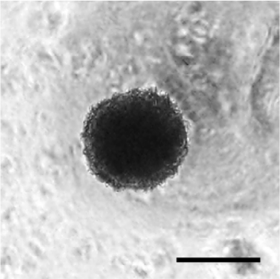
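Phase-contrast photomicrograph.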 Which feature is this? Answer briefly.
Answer: Spheroid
